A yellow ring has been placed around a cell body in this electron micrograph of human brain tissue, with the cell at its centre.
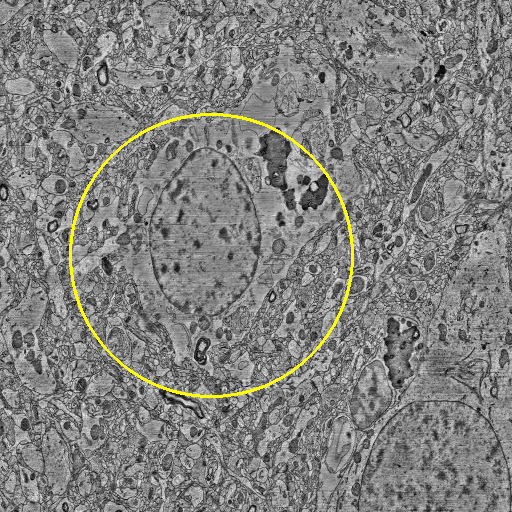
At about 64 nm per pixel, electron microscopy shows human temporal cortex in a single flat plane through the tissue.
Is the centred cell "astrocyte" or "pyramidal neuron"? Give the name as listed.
astrocyte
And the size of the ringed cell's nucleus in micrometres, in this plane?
About 11 by 7 micrometres; in this plane the nucleus is clearly longer than it is wide.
